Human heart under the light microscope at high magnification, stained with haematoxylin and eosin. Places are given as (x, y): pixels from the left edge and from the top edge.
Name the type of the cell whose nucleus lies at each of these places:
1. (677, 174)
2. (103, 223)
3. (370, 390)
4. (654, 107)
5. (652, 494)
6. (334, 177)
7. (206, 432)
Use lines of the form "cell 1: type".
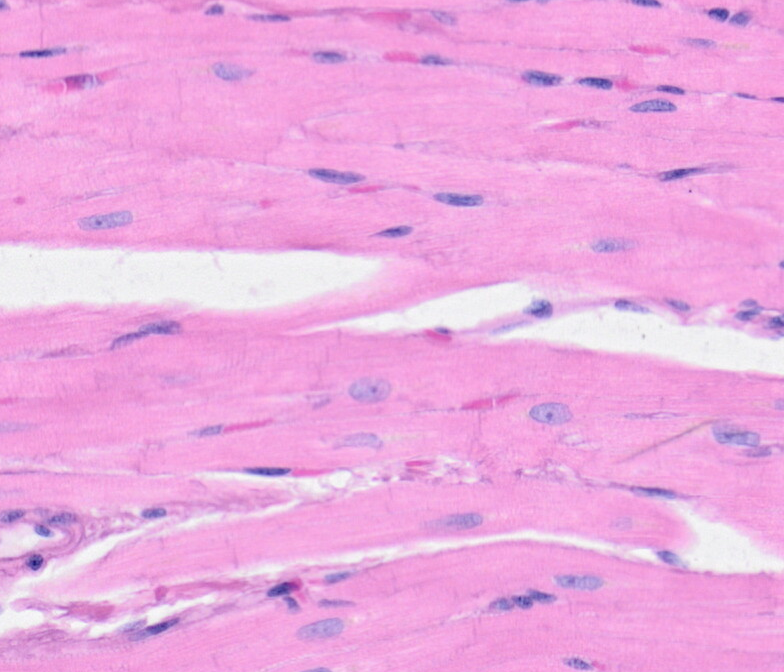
cell 1: endothelial cell
cell 2: cardiomyocyte
cell 3: cardiomyocyte
cell 4: cardiomyocyte
cell 5: endothelial cell
cell 6: fibroblast
cell 7: endothelial cell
